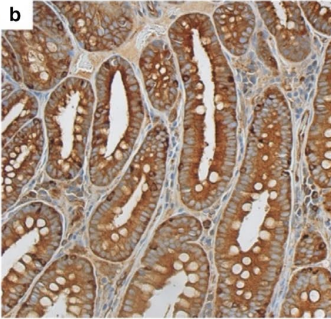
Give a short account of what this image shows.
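This is colonic mucosa with crypts cut mostly lengthwise, each lined by a single layer of columnar epithelial cells with interspersed clear goblet-cell vacuoles around a narrow lumen. The cytoplasm of the lining epithelium is stained strongly brown, while the thin stroma between the crypts is paler with scattered blue nuclei.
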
